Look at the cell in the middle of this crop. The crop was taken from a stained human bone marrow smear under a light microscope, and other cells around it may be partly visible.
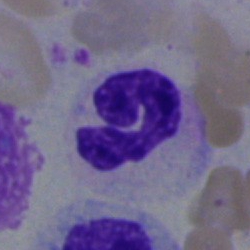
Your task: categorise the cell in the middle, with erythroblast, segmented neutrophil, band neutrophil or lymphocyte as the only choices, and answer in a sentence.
Positioned in the middle of the crop is a segmented neutrophil.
